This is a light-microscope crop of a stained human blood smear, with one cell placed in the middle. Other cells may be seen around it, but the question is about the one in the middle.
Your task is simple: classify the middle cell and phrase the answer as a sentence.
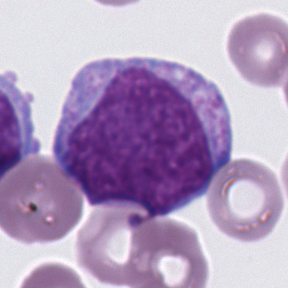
This crop's central cell is a promyelocyte.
